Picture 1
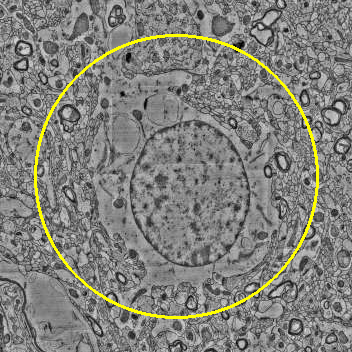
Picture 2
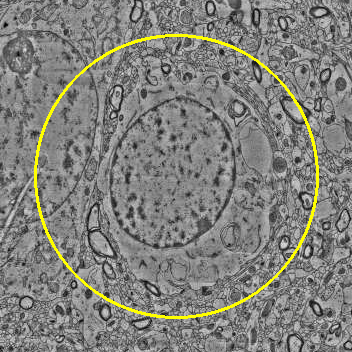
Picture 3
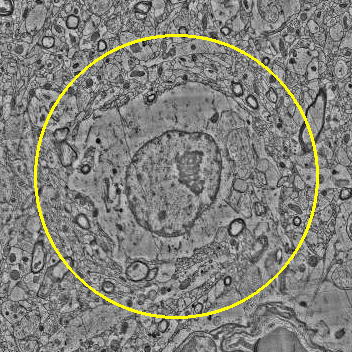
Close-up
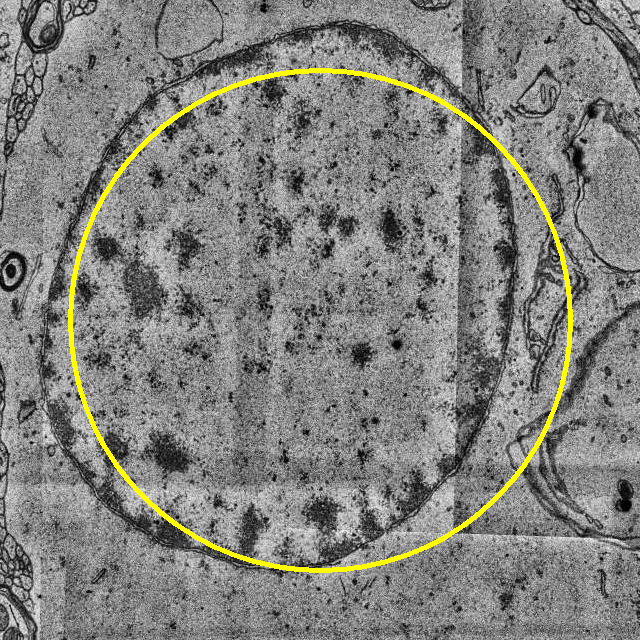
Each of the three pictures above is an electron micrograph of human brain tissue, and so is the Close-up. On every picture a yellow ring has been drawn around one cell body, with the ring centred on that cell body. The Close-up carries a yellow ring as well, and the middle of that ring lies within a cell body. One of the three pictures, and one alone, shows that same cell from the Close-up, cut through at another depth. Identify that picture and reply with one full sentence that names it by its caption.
The enlarged view corresponds to the cell ringed in Picture 2.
